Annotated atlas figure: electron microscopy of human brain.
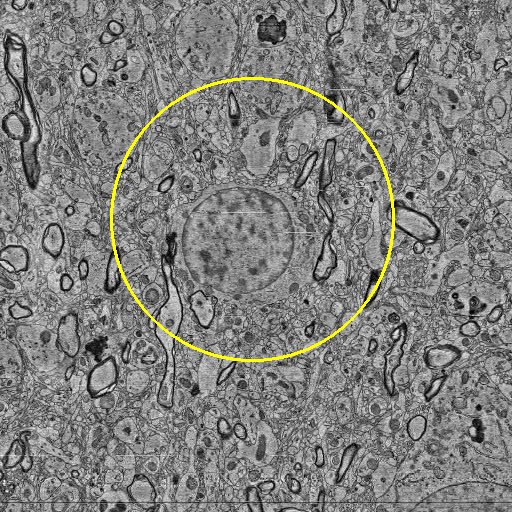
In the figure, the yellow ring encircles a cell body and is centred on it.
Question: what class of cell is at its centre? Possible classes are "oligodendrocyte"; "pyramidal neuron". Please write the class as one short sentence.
The yellow ring is drawn around an oligodendrocyte.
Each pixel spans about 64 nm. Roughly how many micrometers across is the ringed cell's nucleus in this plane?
Roughly 7 micrometres across for the nucleus, in this plane.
